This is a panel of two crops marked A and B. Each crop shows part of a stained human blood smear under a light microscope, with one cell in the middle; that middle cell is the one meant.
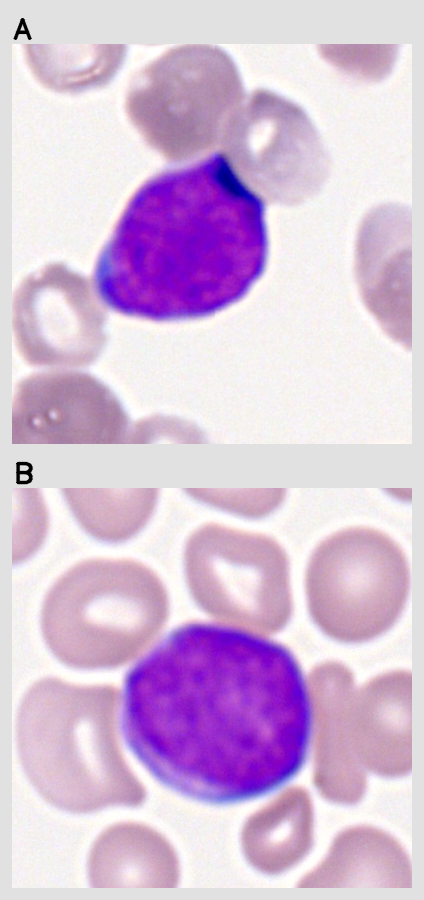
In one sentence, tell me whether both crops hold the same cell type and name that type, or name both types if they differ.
Yes, the same answer goes for both crops, namely myeloblasts.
